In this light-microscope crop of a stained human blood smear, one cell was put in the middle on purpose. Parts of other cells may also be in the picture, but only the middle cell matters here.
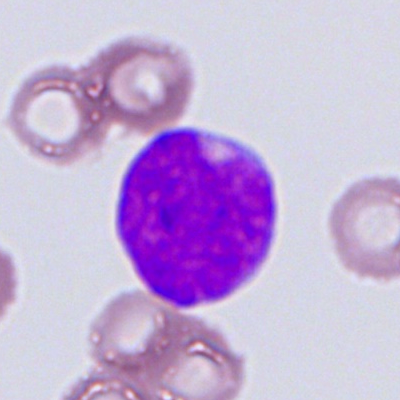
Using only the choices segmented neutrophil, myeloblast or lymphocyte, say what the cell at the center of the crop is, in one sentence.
This crop's central cell is a myeloblast.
